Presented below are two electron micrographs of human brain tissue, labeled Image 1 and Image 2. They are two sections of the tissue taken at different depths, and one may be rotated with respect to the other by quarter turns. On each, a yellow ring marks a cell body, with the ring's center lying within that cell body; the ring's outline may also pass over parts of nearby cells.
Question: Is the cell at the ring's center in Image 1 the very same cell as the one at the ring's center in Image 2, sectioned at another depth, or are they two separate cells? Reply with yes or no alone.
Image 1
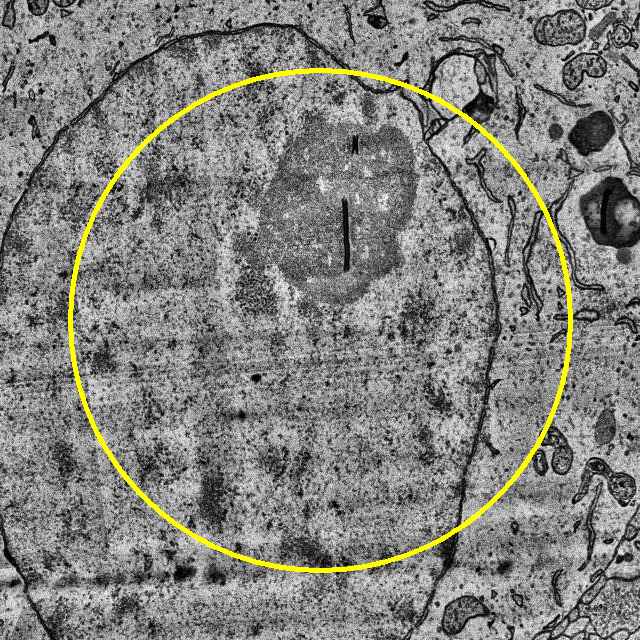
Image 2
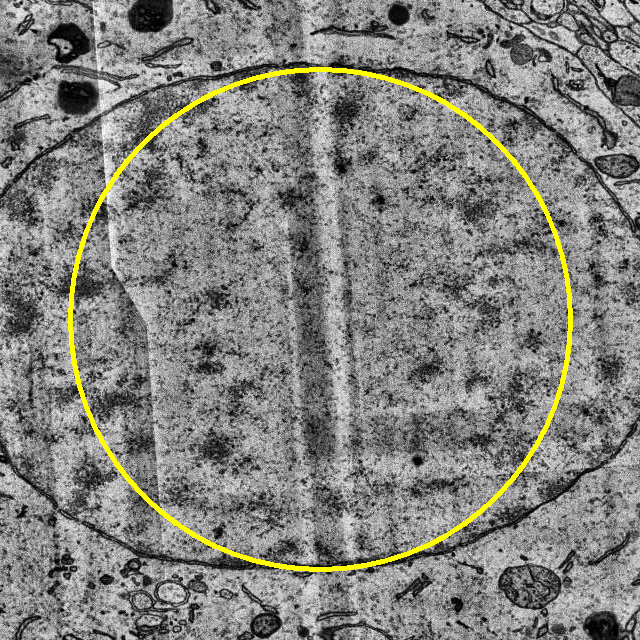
no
